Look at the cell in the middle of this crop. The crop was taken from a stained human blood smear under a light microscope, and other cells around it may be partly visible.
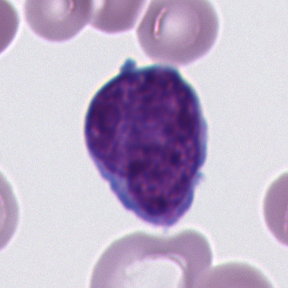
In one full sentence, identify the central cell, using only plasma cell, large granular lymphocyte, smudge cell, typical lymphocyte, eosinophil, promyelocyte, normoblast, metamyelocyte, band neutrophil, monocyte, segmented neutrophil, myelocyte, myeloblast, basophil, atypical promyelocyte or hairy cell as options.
By type, the central cell of the crop is an atypical promyelocyte.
